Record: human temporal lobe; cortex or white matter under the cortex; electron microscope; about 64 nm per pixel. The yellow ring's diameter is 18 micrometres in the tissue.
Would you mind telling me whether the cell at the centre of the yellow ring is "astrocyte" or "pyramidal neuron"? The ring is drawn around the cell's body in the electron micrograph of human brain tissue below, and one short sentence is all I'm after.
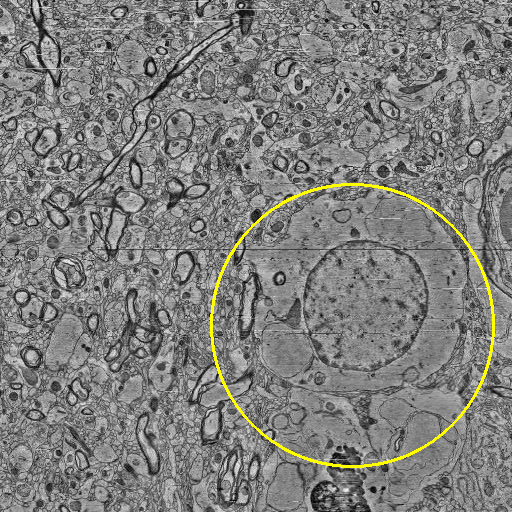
In the centre of the ring lies an astrocyte.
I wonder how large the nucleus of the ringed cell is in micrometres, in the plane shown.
The nucleus comes to roughly 8 micrometres across in this plane.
